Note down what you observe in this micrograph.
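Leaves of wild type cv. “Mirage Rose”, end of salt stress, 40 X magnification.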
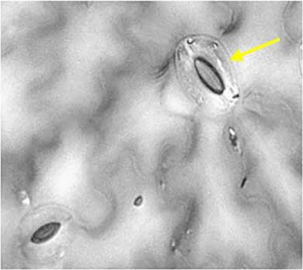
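This is leaf epidermis seen from the surface, showing stomata among pale pavement cells whose wavy walls are faintly visible as soft grey outlines. Two stomata are in view: each consists of a pair of curved, bean-shaped guard cells surrounding a central pore. In the upper one the pore is a broad, dark elliptical opening with clearly defined guard-cell rims, so the aperture looks wide. The lower-left stoma is smaller in the field but likewise shows a dark oval pore.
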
